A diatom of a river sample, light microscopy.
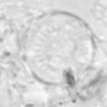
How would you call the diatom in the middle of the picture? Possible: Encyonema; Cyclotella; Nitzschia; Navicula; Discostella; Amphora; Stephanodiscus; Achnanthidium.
I would call it Discostella.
